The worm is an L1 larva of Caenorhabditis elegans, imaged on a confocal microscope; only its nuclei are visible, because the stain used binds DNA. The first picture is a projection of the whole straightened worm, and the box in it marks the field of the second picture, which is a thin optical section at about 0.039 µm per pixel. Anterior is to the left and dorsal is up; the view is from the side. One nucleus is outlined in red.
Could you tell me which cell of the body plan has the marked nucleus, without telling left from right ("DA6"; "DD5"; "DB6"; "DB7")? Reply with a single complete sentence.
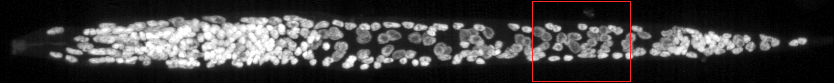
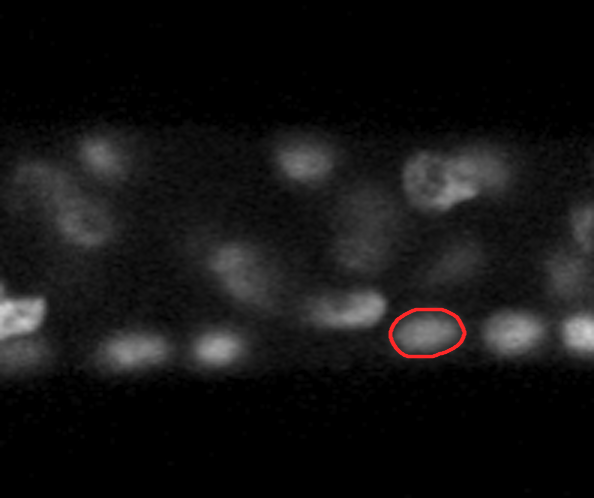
The nucleus is from DD5, a neuron.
